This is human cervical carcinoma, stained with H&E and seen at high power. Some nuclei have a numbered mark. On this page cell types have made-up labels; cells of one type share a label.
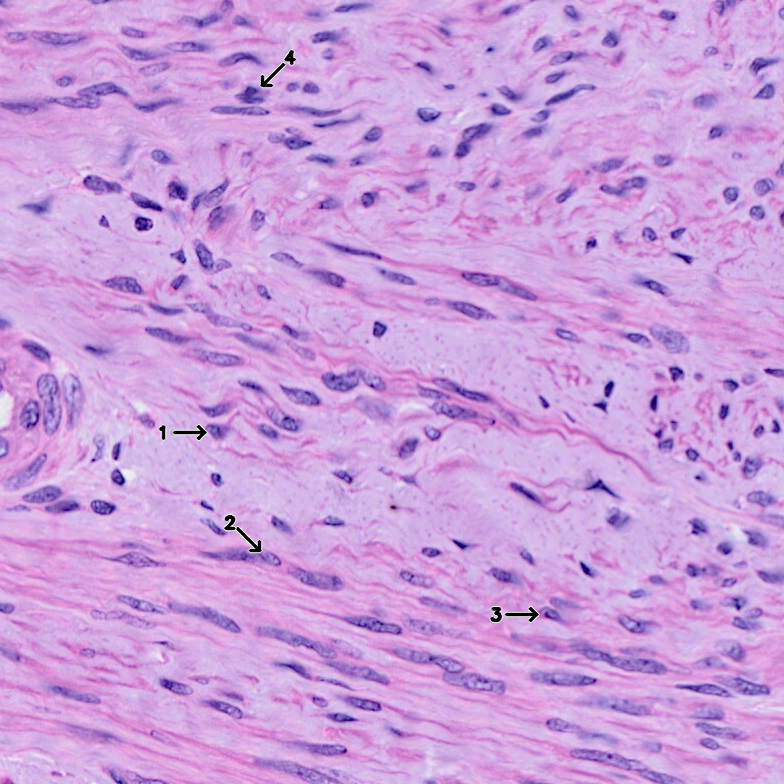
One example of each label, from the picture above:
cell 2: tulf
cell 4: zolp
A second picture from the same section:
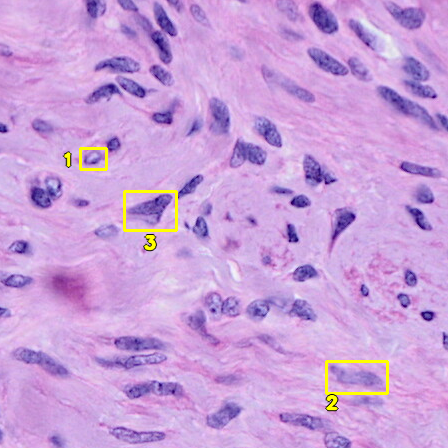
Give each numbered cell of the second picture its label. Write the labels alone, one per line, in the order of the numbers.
tulf
tulf
zolp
